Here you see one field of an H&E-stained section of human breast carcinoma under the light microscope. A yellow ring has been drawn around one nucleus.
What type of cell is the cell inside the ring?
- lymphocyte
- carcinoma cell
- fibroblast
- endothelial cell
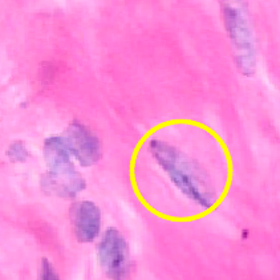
fibroblast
